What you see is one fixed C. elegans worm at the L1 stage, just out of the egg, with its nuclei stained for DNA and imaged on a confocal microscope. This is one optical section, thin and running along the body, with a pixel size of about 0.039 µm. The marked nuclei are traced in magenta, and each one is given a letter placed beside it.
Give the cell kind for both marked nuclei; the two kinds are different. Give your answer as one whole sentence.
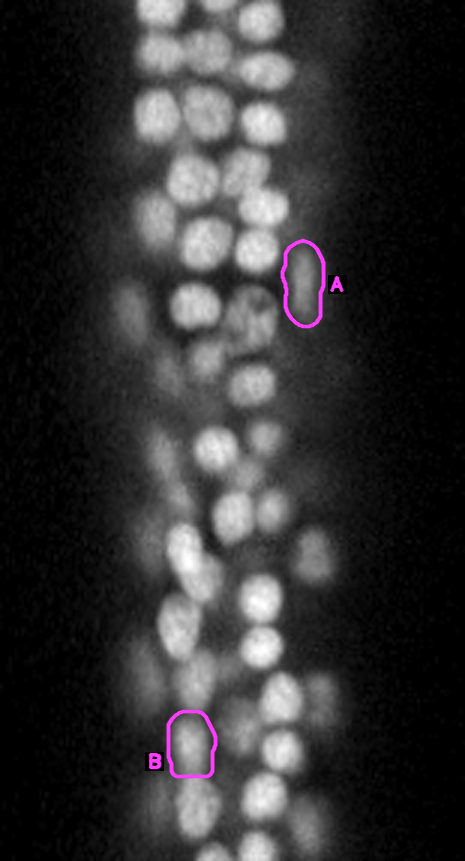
A is in a body wall muscle cell and B is in an arcade cell.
